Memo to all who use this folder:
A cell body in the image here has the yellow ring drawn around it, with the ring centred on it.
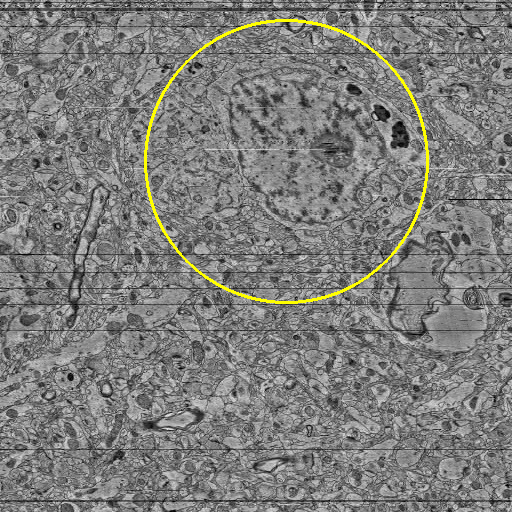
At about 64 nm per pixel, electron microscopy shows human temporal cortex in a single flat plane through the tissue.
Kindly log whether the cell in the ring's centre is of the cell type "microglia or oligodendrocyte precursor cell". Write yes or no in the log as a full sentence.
Yes, logged: the ring in this image is centred on a cell of that type.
